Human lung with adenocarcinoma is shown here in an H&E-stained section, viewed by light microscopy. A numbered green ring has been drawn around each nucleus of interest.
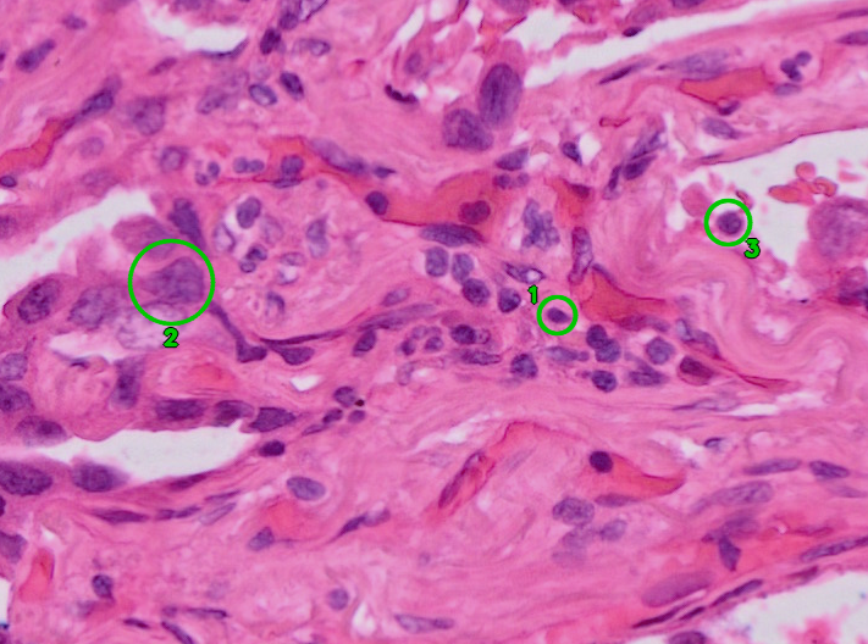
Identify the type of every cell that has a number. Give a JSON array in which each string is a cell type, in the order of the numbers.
["lymphocyte", "carcinoma cell", "lymphocyte"]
